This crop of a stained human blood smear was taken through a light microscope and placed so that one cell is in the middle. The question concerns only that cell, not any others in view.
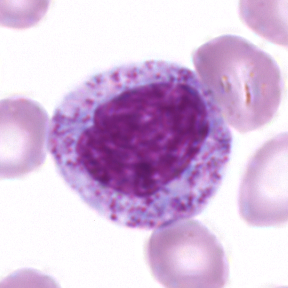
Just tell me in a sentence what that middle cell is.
Centrally within this crop lies a myelocyte.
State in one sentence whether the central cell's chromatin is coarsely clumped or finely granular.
The nucleus shows chromatin that is coarsely clumped.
